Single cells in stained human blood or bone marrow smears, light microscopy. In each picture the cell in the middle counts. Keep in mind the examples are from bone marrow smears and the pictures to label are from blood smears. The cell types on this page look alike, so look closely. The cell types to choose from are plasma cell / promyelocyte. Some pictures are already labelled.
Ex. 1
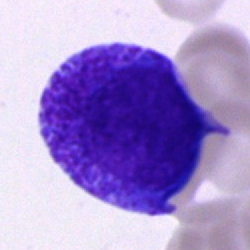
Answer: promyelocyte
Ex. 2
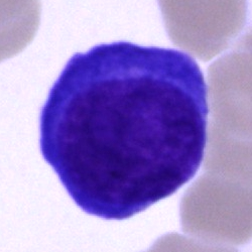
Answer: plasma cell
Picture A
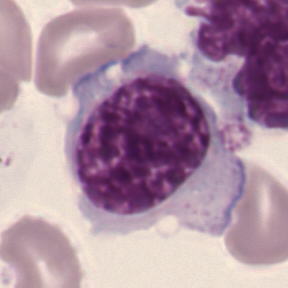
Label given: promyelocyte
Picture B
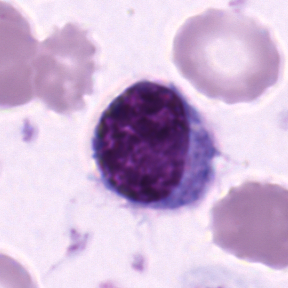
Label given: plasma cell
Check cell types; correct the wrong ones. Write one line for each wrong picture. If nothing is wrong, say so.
A should be plasma cell, not promyelocyte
